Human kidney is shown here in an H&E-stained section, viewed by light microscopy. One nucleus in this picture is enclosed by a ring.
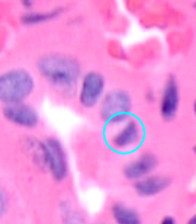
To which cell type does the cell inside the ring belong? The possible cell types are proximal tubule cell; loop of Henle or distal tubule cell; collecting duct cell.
collecting duct cell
